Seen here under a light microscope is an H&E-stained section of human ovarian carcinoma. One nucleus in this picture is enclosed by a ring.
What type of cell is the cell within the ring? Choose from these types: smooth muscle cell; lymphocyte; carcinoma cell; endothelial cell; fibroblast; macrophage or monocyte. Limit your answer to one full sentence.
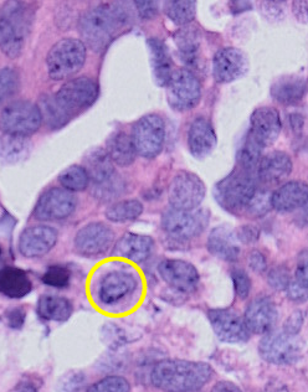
In this section, the cell within the ring is a macrophage or monocyte.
